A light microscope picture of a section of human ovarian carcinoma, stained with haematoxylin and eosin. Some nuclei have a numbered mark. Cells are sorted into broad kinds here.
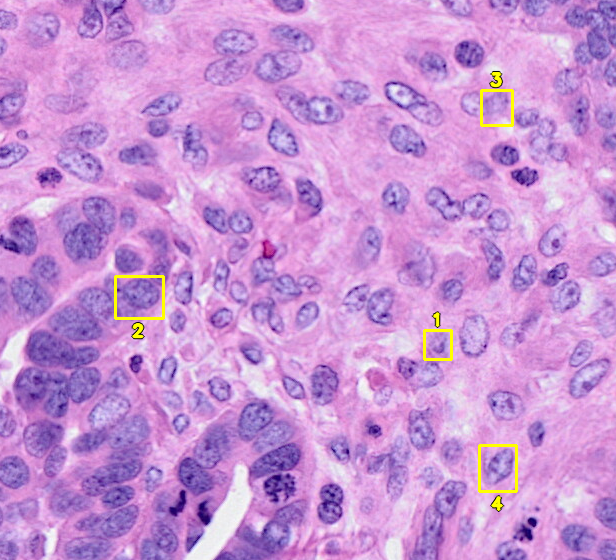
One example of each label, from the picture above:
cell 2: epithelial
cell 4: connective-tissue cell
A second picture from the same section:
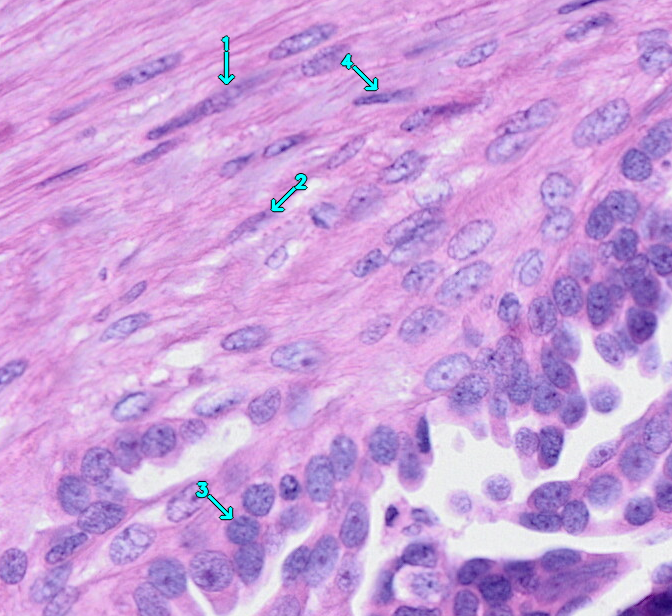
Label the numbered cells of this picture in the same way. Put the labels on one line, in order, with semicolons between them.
connective-tissue cell; connective-tissue cell; epithelial; connective-tissue cell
